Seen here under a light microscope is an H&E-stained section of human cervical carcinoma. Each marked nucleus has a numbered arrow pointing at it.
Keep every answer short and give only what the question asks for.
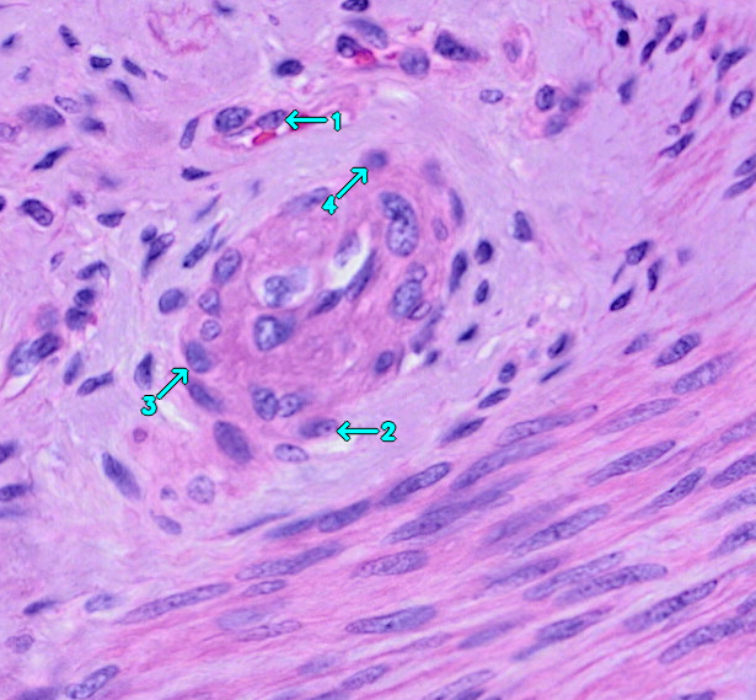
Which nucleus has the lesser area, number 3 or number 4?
4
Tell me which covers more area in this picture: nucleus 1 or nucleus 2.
2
